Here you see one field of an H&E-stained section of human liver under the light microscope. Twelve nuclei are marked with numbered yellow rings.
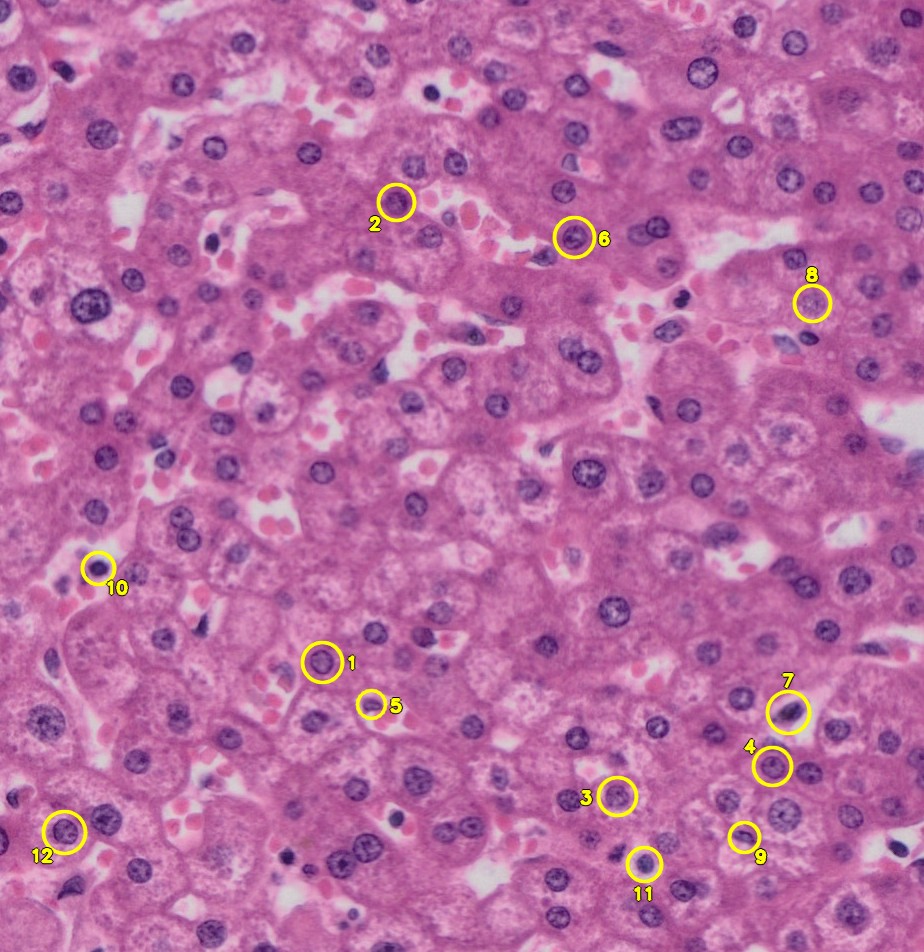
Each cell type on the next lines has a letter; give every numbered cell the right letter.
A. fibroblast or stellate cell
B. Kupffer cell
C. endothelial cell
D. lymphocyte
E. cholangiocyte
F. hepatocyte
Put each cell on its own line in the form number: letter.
1: F
2: F
3: F
4: F
5: B
6: F
7: B
8: F
9: A
10: D
11: D
12: F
